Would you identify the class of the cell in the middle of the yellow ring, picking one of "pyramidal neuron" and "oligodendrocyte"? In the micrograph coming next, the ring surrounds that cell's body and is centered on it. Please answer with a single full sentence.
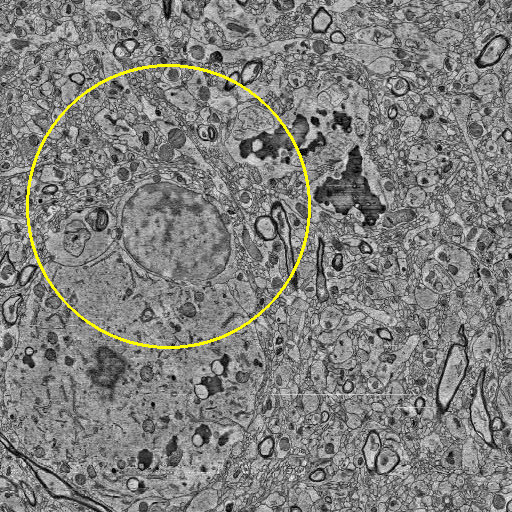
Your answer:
In the micrograph, it is an oligodendrocyte whose body lies at the ring's center.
